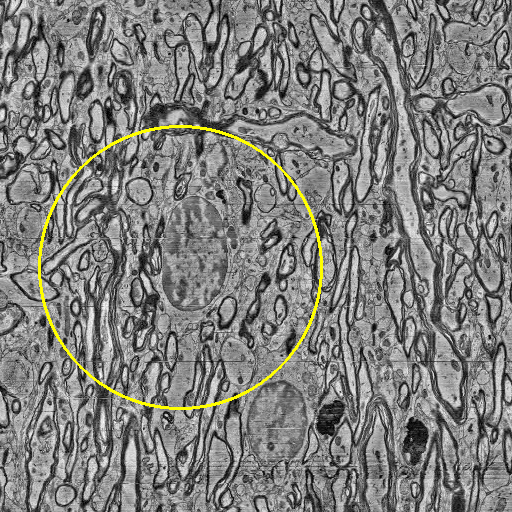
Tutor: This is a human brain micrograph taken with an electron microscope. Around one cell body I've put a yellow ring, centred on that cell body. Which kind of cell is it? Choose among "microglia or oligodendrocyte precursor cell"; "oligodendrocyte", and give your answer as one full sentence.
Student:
Going by your list, the cell centred in the yellow ring is a microglial cell or oligodendrocyte precursor cell.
